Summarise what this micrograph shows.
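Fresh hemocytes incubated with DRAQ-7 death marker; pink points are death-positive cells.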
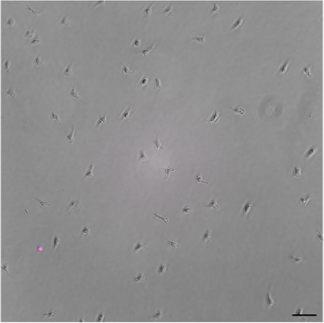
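Most cells are flattened and irregular, spindle-shaped or star-shaped with thin processes, lying well apart from each other. Only one cell carries a pink spot, so nearly all of them are unlabelled.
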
